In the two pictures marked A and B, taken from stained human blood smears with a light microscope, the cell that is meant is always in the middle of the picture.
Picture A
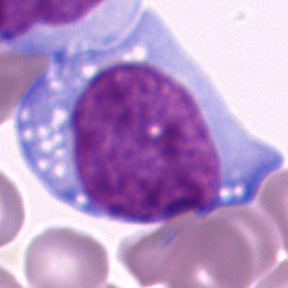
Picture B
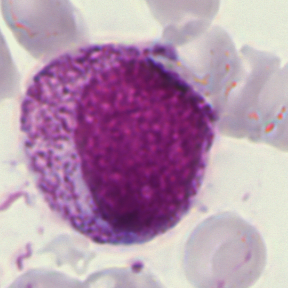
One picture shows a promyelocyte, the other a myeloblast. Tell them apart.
A: myeloblast
B: promyelocyte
